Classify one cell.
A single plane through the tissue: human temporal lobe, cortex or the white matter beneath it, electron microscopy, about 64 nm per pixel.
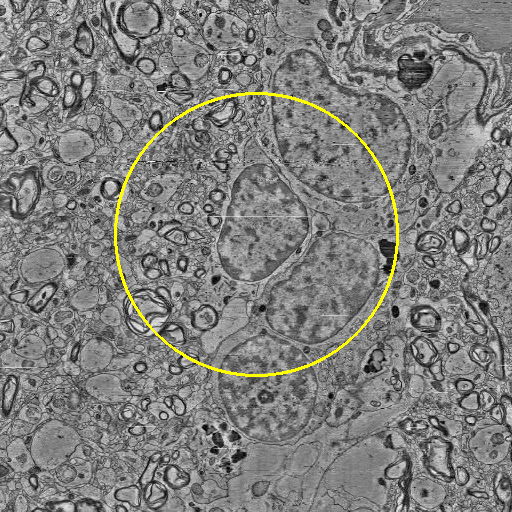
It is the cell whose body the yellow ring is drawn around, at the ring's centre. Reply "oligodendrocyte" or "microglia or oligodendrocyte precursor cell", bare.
microglia or oligodendrocyte precursor cell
